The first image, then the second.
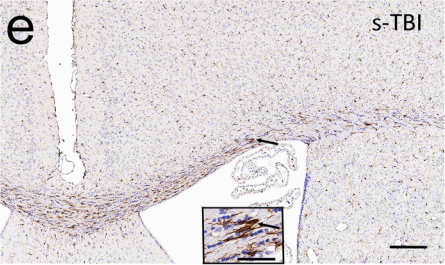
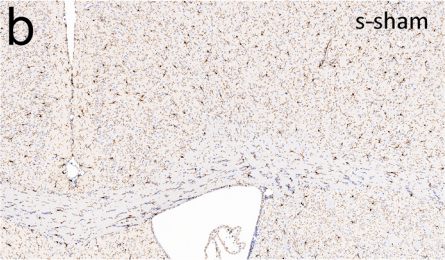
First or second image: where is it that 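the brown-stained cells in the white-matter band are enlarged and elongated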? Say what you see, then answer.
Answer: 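The first image. Second image: the white-matter band holds few, small, thin brown cells. First image: the white-matter band is crowded with thick, elongated brown cells aligned along the fibres.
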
